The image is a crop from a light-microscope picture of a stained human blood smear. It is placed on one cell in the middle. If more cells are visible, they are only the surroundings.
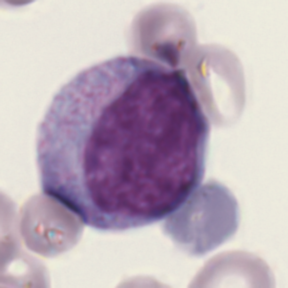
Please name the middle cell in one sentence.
In the center of this field lies a promyelocyte.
